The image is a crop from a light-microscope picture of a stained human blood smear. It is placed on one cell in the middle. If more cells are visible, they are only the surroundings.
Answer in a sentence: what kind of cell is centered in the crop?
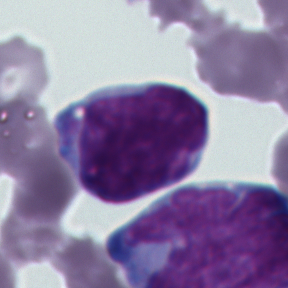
The centrally placed cell is classified as a myeloblast.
